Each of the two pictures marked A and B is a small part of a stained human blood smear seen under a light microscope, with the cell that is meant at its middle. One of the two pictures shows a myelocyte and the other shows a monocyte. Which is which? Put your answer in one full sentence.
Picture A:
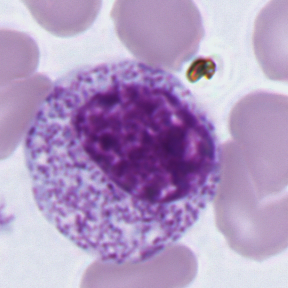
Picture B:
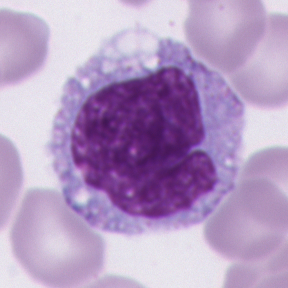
Picture B shows a monocyte, while picture A shows a myelocyte.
